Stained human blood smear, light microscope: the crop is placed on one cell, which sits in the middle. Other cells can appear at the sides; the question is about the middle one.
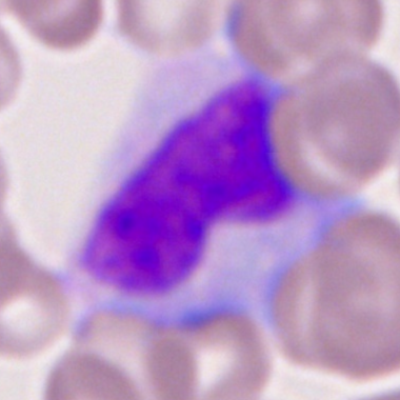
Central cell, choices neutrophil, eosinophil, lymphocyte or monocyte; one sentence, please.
Here the centrally located cell is a monocyte.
